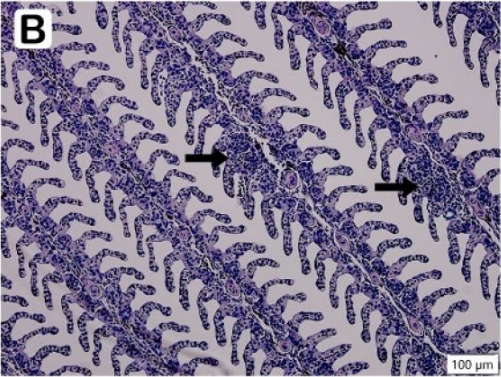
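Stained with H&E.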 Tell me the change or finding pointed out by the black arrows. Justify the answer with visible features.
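Epithelial hyperplasia. The arrows point to dense clusters of darkly stained nuclei at the bases of the lamellae. At these spots the filament is locally thickened and the spaces between lamellae are partly filled.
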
